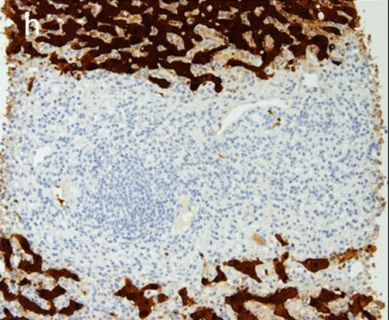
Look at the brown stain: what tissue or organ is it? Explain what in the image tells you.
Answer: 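Normal hepatic parenchyma. Brown-stained tissue fills the upper and lower edges of the field. The brown tissue forms anastomosing cords separated by pale channels.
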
